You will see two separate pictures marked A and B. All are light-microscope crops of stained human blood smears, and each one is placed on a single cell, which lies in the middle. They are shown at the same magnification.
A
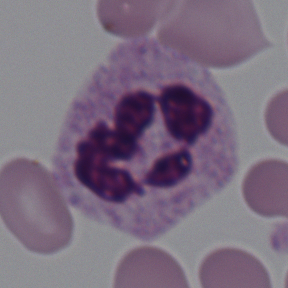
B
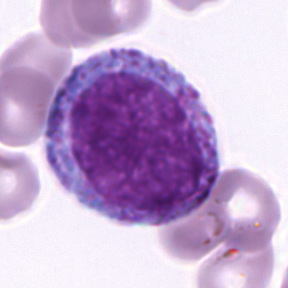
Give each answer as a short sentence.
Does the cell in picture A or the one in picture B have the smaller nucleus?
Picture A shows the smaller nucleus, since that in picture B covers about 2 times as much area.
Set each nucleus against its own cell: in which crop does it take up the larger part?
The nucleus fills more of the cell in picture B than in picture A.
